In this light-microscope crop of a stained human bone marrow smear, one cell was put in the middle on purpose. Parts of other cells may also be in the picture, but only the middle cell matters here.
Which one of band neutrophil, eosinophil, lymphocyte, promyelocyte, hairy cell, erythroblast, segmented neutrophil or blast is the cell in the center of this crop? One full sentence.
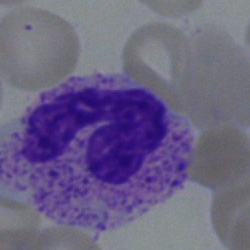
In the middle of this smear crop is a band neutrophil.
